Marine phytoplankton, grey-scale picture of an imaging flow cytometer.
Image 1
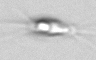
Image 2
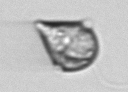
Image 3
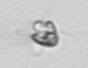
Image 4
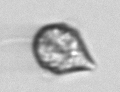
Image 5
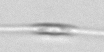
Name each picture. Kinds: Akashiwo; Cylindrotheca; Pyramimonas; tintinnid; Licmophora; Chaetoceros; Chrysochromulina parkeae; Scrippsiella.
1. Chrysochromulina parkeae
2. Scrippsiella
3. Pyramimonas
4. Scrippsiella
5. Cylindrotheca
